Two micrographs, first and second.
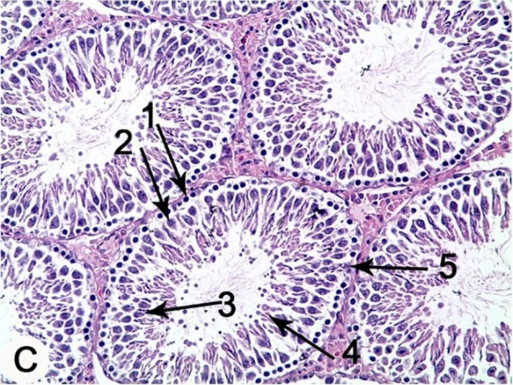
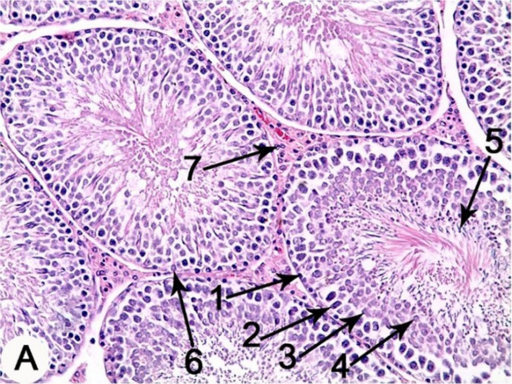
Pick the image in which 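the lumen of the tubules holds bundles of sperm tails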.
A: The second image.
